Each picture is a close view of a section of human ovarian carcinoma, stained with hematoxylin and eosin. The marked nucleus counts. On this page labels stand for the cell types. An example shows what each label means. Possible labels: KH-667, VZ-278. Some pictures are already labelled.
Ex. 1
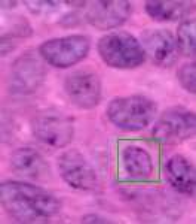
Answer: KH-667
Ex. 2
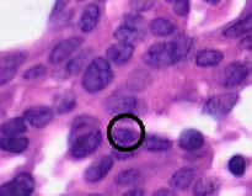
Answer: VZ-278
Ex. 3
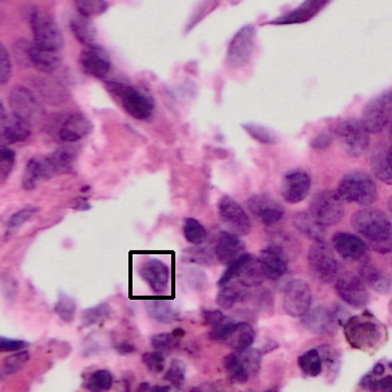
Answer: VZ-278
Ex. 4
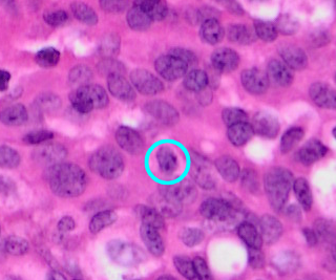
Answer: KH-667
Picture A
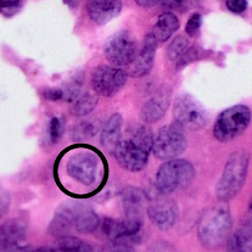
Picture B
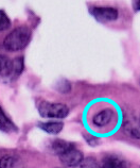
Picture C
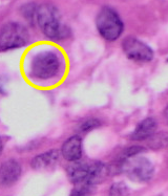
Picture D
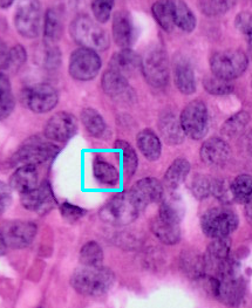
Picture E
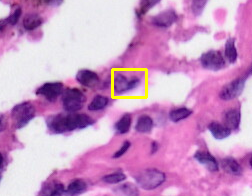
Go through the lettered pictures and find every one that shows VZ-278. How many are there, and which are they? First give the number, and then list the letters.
1, namely C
